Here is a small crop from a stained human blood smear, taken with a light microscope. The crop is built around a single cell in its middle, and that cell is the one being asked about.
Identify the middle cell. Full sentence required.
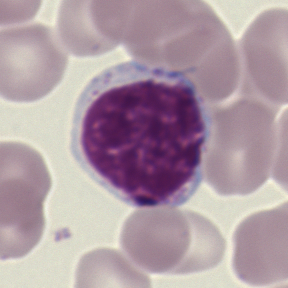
The identification for the central cell is a large granular lymphocyte.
